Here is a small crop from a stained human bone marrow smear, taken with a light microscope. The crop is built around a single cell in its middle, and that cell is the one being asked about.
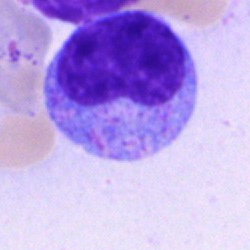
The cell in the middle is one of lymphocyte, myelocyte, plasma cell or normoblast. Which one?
myelocyte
